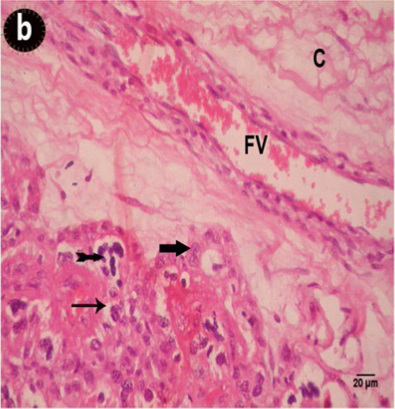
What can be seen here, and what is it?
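This section of placentome shows a band of connective tissue with a large blood vessel above and a cellular villous region of trophoblast cells below. The connective tissue is pale pink and loose, with sparse thin fibres and few nuclei. The vessel is lined by flat cells and contains red blood cells. In the lower region, cells with round nuclei and pink cytoplasm are packed together, some holding a single nucleus. Among them are rounded cells with two nuclei and pale cytoplasm, and a larger cell containing several dark nuclei.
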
